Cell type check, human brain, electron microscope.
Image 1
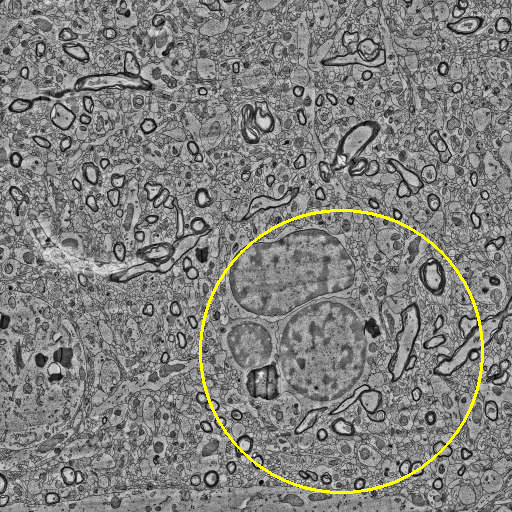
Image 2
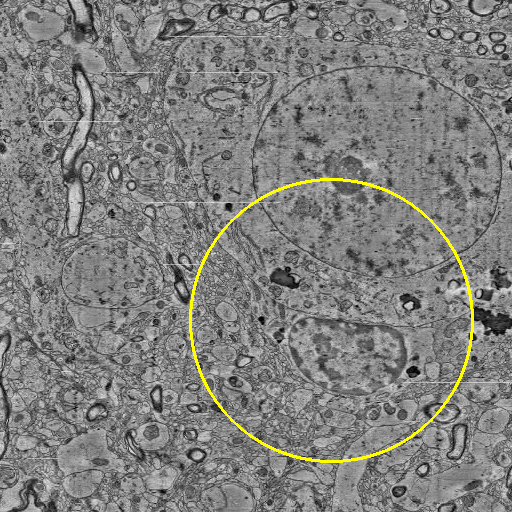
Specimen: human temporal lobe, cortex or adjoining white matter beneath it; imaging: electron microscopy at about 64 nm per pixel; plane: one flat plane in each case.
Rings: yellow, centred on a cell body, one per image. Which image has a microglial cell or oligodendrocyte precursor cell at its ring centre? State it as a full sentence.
The ring in Image 2 is centred on it.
